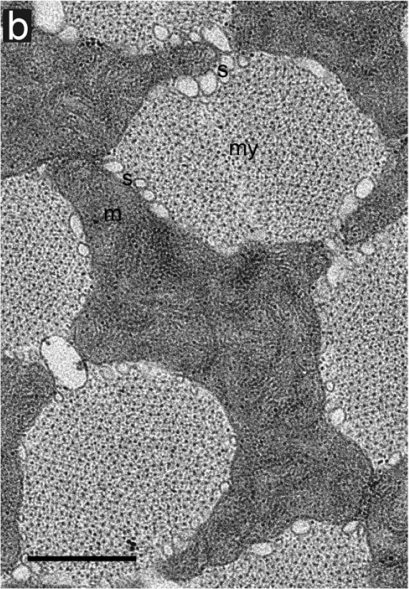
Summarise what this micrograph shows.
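Cross-section of striated muscle fibre showing large rounded myofibrils, each a pale, finely stippled lattice of filaments cut end-on, set in broad dark masses of mitochondria. The mitochondria are large and densely packed with cristae. They spread between the myofibrils and wrap much of their circumference, so that the dark material forms a continuous network. Small round pale vesicles sit in rows at the edges of the myofibrils, between the filament lattice and the mitochondria. This is insect flight muscle, with myofibrils, abundant interfibrillar mitochondria and sarcoplasmic reticulum.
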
